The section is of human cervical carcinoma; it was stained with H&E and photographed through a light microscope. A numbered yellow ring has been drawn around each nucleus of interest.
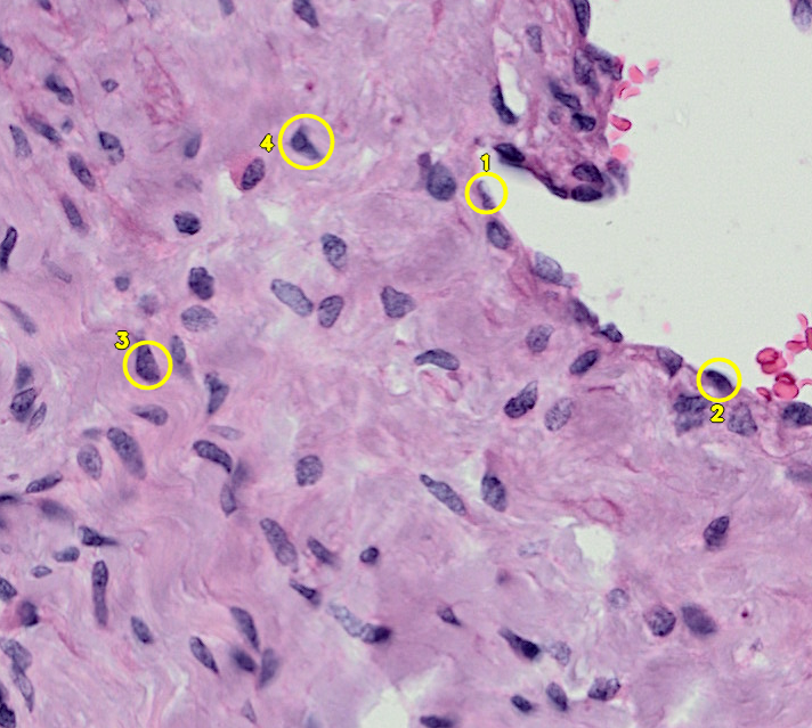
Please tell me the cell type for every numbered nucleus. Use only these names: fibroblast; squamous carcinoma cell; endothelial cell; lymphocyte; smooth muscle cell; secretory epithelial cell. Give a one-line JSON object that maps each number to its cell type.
{"1": "endothelial cell", "2": "endothelial cell", "3": "fibroblast", "4": "fibroblast"}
